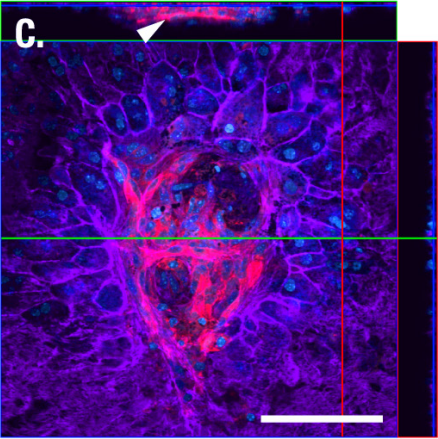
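Purple outlines define a sheet of polygonal cells in a cobblestone pattern, each with blue nuclei; some cells hold two nuclei. Toward the centre the cells become larger, elongated and irregular, arranged around the lesion. Thin strips at top and right show side views of the stack; the top strip contains a red elongated structure below the surface.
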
